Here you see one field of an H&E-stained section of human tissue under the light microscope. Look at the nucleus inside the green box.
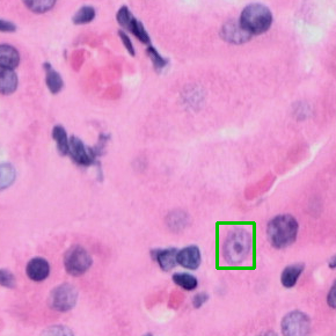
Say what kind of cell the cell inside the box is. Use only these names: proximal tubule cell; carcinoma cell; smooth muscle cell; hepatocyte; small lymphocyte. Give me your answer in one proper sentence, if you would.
What the cell inside the box represents is a proximal tubule cell.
